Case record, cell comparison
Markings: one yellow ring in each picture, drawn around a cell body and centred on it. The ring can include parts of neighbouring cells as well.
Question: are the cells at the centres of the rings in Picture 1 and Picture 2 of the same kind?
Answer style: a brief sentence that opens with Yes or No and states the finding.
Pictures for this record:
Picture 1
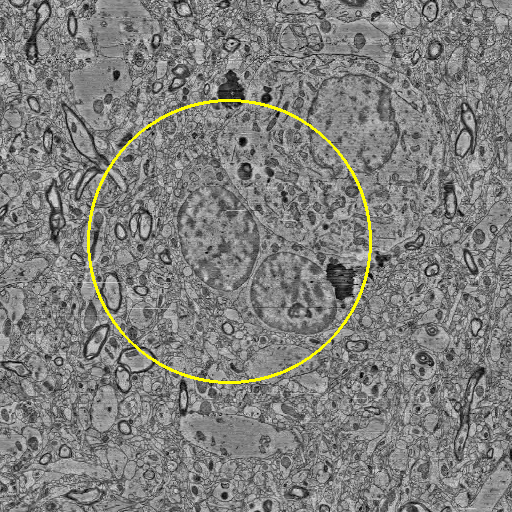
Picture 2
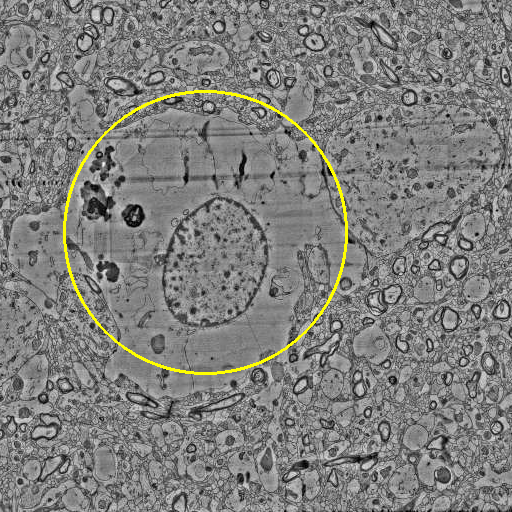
No, the cells in Picture 1 and Picture 2 are of two kinds.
